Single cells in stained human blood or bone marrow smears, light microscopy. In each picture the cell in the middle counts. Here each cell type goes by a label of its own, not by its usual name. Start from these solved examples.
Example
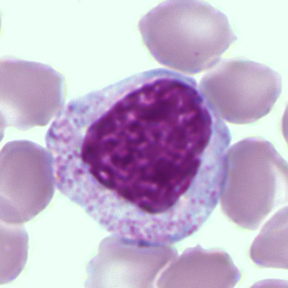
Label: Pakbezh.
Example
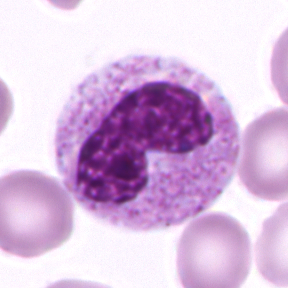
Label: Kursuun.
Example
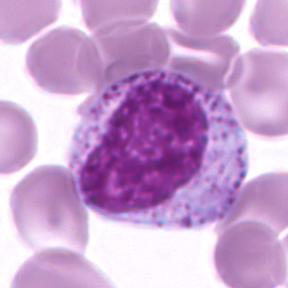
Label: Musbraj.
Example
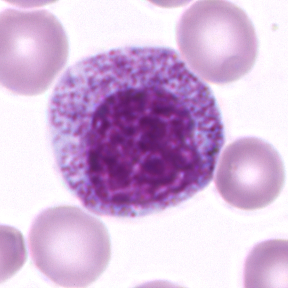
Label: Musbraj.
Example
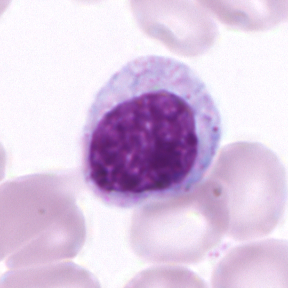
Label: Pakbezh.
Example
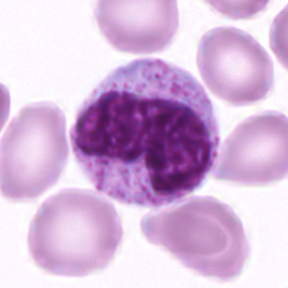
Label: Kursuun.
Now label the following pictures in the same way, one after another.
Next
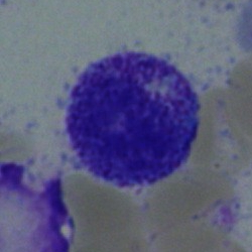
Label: Musbraj.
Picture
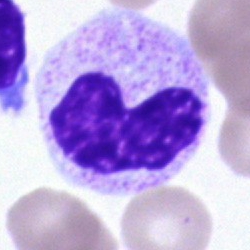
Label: Kursuun.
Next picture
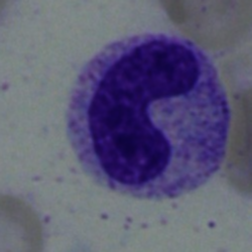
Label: Kursuun.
